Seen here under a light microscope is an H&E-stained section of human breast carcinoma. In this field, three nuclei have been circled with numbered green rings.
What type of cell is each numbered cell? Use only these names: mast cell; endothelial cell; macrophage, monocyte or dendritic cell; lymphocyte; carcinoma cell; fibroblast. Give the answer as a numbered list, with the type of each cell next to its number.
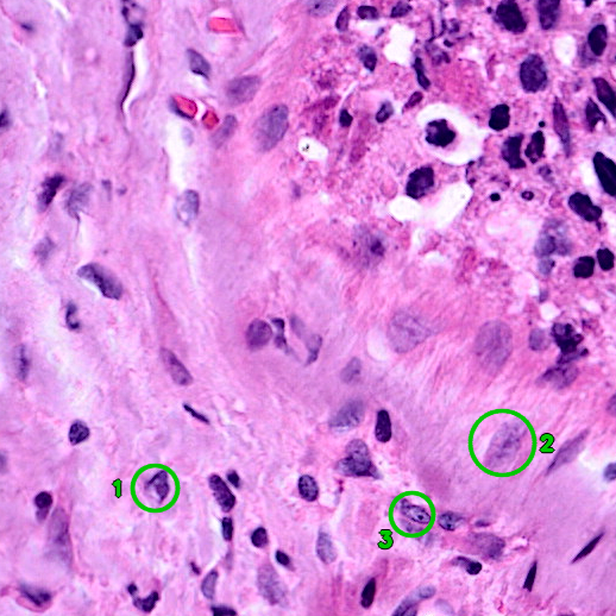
1. fibroblast
2. fibroblast
3. endothelial cell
